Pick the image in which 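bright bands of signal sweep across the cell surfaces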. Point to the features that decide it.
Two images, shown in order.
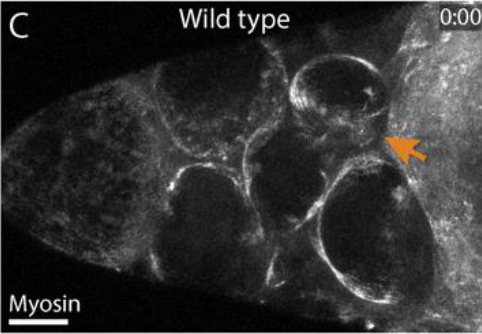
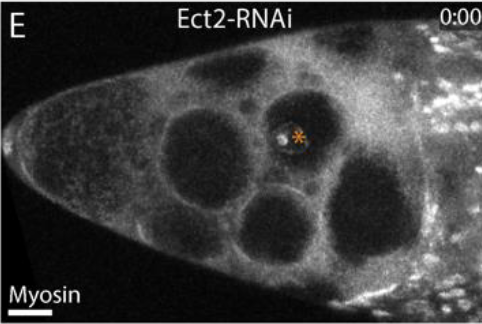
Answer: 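Second image: large cells show diffuse signal with only faint outlines and no bright bands over their surfaces. First image: several cells are outlined by bright cortical signal and one shows bright curved bands across its surface. The answer: the first image.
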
